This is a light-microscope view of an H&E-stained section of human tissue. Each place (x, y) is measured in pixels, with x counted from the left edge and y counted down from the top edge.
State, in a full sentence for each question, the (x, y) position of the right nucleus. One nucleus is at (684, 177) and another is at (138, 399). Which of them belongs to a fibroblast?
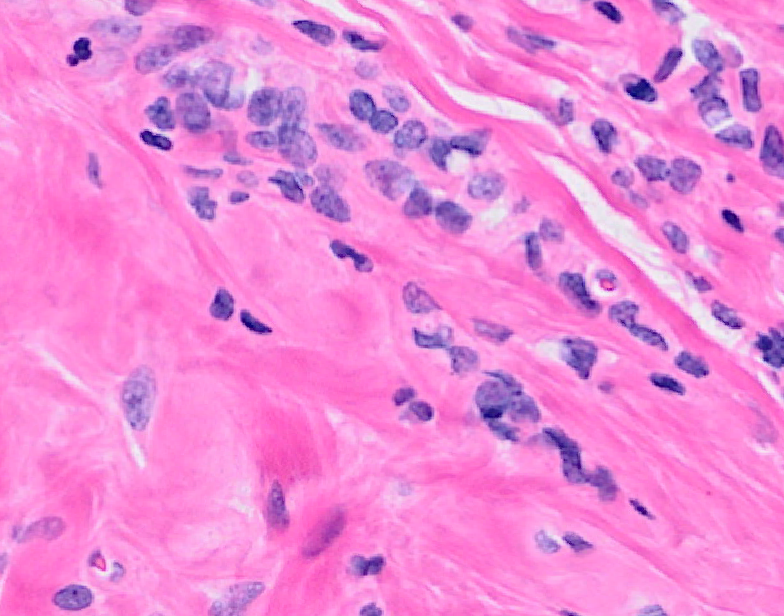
The nucleus located at (138, 399) is the one held within a fibroblast.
